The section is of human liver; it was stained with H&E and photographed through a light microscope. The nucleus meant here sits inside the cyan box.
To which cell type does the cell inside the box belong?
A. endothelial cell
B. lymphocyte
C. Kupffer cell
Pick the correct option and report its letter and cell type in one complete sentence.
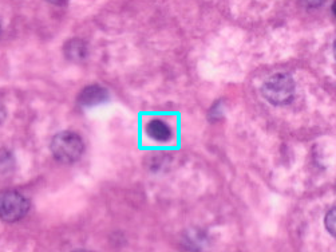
The correct option here, B, identifies the cell inside the box as a lymphocyte.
